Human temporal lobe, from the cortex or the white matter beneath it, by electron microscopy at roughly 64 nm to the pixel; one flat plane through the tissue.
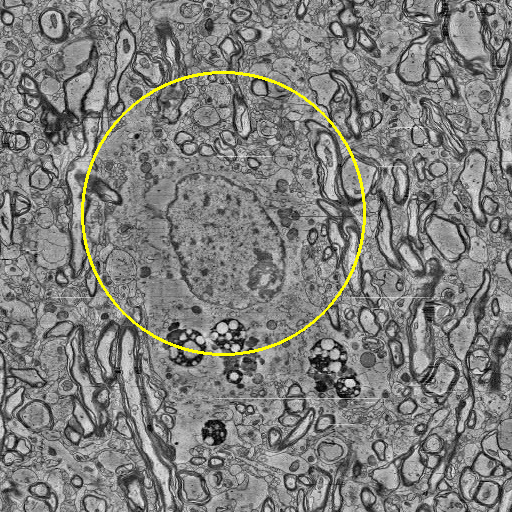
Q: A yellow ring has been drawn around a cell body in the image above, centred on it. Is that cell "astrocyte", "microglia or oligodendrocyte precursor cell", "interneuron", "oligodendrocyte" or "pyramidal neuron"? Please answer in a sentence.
The ring surrounds the cell body of an astrocyte.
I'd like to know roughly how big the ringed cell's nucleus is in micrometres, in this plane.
In this plane, roughly 10 by 7 micrometres.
